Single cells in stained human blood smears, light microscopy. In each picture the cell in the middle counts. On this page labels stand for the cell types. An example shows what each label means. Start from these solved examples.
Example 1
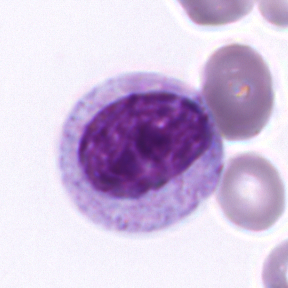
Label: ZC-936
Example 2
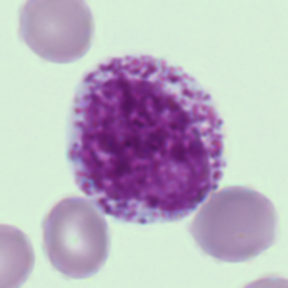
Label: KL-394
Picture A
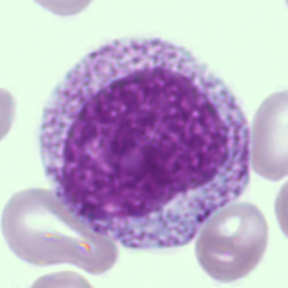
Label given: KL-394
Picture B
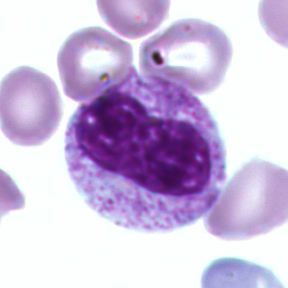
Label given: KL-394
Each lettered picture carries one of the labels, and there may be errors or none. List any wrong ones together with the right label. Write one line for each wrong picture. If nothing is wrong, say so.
Wrong: A (KL-394); correct: ZC-936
